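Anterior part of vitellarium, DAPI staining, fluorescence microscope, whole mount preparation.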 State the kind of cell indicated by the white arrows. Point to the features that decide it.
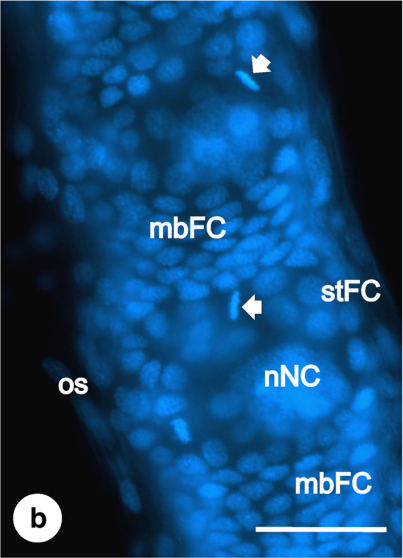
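The arrows point at small, bright, compact bar-shaped chromatin bodies. These lie among many small oval nuclei of the surface epithelium. That points to this answer: dividing follicular cells.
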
